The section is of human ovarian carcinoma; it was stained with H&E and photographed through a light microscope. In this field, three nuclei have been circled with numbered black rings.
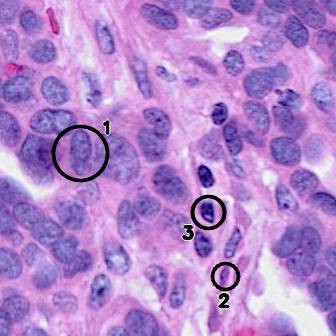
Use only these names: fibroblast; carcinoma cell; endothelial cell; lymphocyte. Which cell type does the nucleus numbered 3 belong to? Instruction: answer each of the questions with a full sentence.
The cell indicated by marker 3 is a lymphocyte in this section.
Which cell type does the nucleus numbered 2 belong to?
The cell indicated by marker 2 is a fibroblast in this section.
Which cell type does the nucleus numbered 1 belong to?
Cell 1 of the marked set is a carcinoma cell.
